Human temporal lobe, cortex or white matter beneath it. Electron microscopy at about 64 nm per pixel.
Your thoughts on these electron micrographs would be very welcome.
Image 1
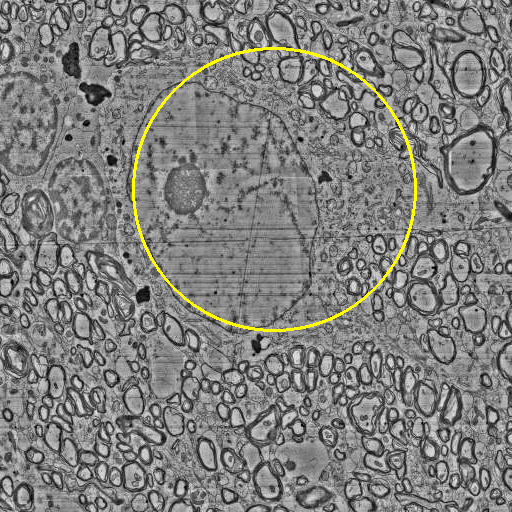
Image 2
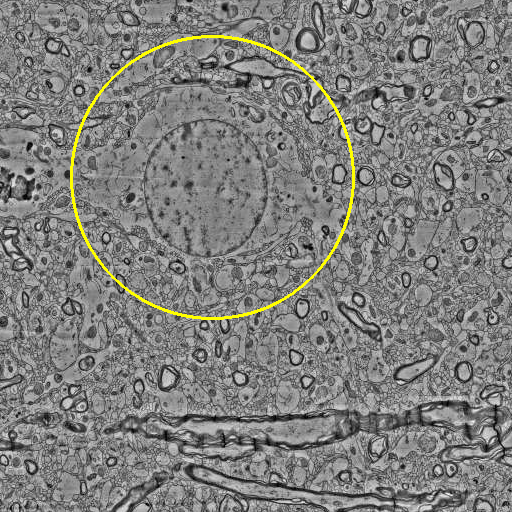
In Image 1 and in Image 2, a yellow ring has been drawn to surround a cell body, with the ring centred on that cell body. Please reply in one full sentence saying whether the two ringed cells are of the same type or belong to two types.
The ringed cells in Image 1 and Image 2 belong to two types.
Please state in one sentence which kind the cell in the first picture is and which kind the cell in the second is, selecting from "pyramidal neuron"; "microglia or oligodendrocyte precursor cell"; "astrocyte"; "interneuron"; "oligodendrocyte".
The first ringed cell is a pyramidal neuron, the second ringed cell an astrocyte.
